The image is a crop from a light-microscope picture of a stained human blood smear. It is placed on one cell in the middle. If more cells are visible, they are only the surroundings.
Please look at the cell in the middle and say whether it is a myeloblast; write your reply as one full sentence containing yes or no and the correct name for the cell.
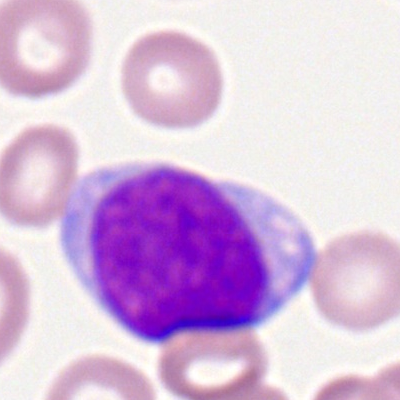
Yes, the middle cell in this crop is a myeloblast.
